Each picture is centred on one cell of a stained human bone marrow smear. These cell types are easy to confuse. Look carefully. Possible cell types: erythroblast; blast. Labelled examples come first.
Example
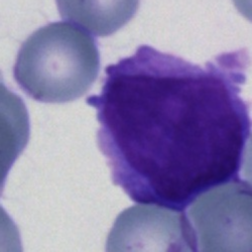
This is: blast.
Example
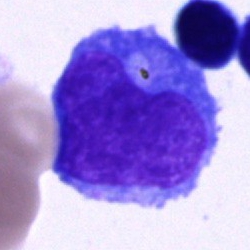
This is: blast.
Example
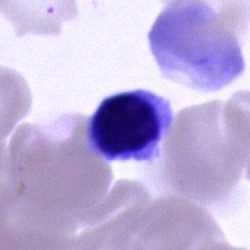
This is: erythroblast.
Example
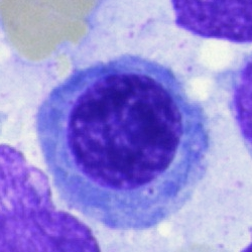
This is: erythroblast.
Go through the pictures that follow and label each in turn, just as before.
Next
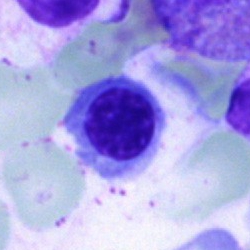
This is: erythroblast.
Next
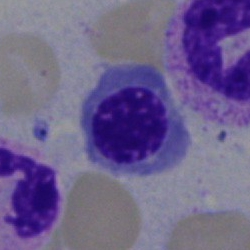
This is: erythroblast.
